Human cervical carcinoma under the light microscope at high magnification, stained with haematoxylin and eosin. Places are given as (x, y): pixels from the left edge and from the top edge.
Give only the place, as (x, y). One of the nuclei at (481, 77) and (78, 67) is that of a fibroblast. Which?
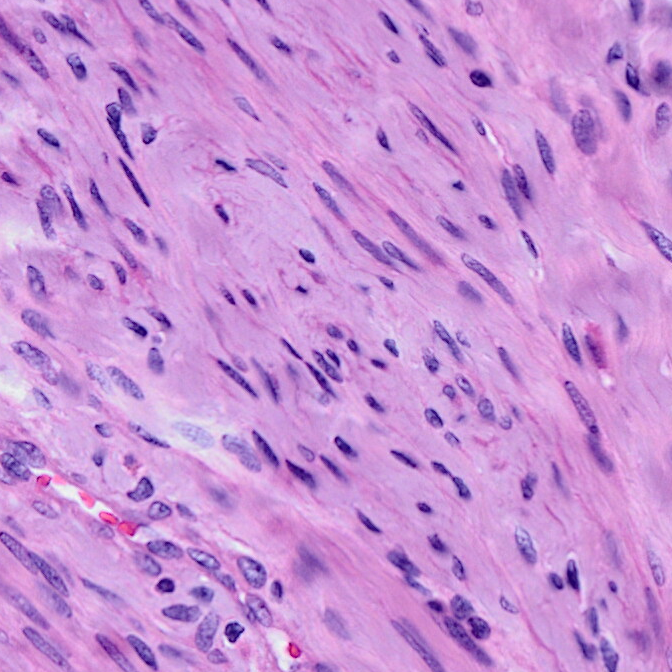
(78, 67)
